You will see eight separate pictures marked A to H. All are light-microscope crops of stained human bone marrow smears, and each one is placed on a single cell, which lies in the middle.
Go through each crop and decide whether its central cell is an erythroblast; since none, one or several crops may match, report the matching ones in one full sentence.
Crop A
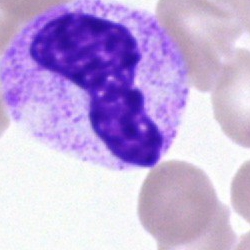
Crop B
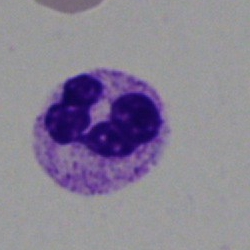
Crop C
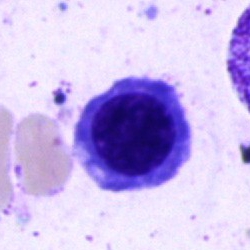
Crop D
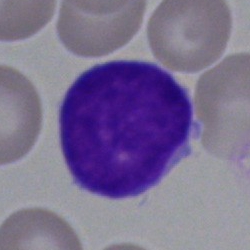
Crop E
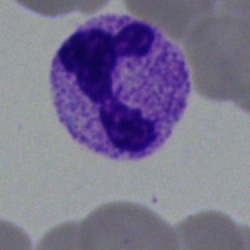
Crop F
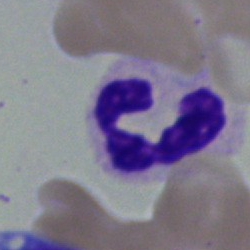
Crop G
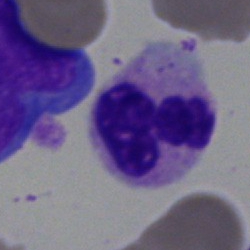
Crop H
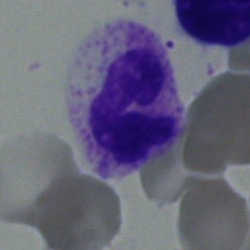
Of the crops provided, crop C is the only one that contains an erythroblast.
